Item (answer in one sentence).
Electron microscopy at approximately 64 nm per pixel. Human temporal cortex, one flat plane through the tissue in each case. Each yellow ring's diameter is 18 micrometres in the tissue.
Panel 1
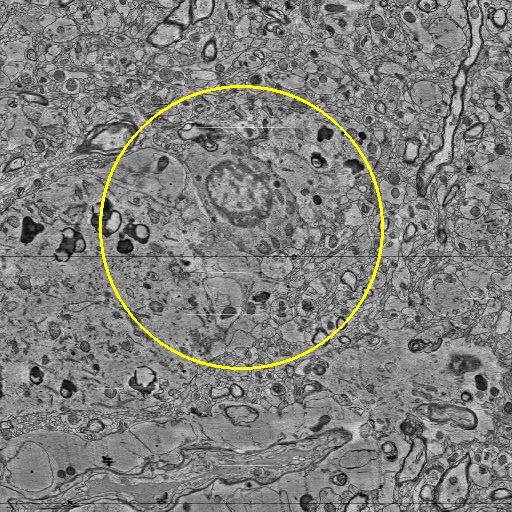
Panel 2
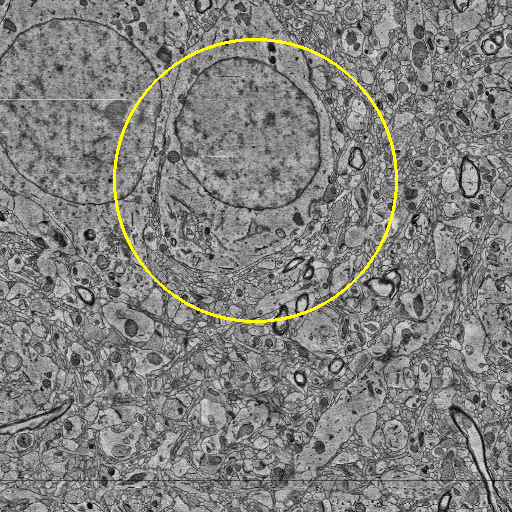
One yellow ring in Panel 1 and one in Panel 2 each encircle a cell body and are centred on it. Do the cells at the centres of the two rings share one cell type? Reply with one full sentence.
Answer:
No, Panel 1 and Panel 2 show cells of two types at the centres of their rings.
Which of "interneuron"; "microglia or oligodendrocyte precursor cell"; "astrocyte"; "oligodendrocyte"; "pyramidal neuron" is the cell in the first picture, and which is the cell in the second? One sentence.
The two differ: the first cell is an oligodendrocyte and the second is a pyramidal neuron.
